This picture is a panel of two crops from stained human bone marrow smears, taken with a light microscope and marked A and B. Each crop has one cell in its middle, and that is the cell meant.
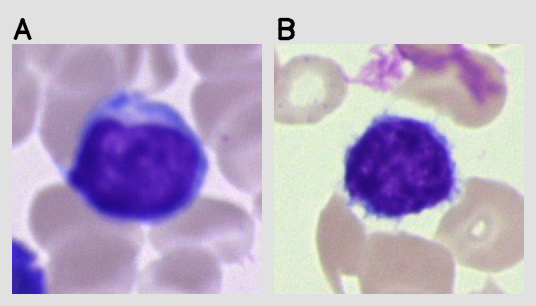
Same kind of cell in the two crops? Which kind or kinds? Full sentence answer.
Yes, in both crops, lymphocytes are the cells at the middle.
